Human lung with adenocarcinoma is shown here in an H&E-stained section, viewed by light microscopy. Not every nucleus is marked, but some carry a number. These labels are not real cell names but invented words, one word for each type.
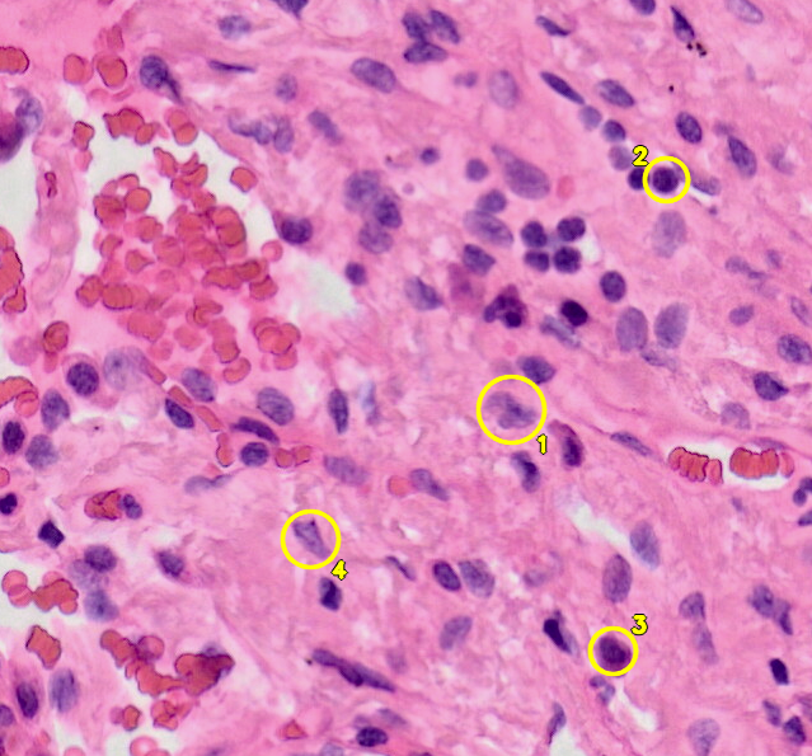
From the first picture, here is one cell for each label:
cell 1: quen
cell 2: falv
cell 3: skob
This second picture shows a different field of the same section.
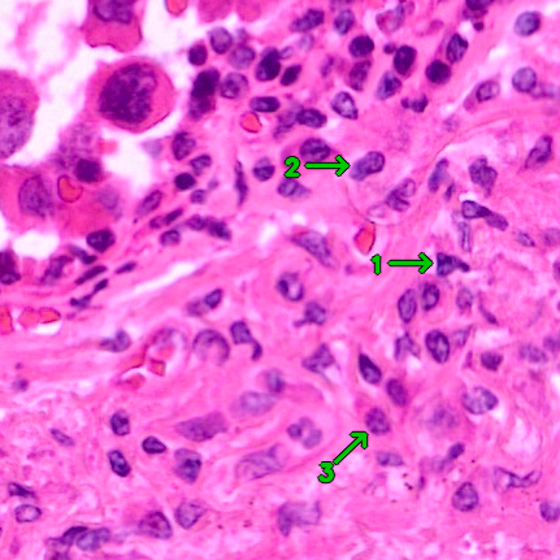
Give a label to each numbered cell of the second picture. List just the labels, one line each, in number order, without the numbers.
falv
falv
skob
